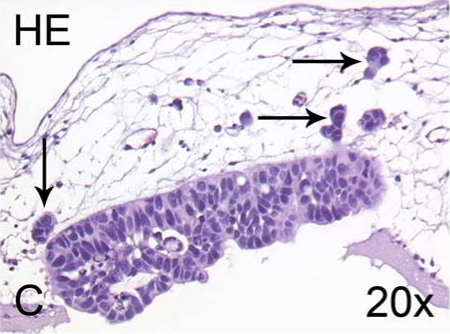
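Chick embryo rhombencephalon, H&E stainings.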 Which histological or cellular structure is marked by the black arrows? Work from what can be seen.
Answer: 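Small aggregated clusters. Small groups of two to four dark-staining cells lie apart from the main mass in the loose mesenchyme. The arrowed groups resemble the cells of the main mass in size and staining.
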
